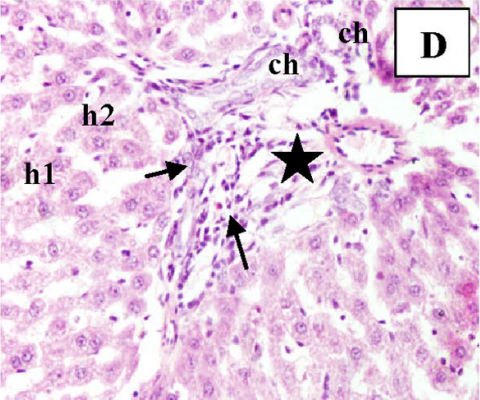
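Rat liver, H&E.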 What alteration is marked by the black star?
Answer: Increased connective tissue stroma.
